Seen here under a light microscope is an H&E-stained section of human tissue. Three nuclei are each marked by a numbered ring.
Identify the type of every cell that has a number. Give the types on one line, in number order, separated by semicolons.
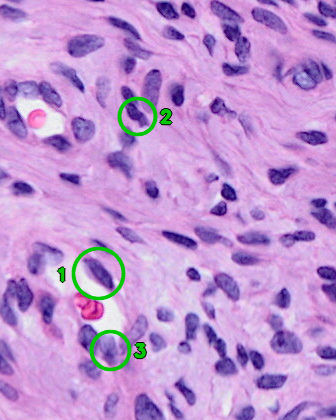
endothelial cell; fibroblast; endothelial cell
